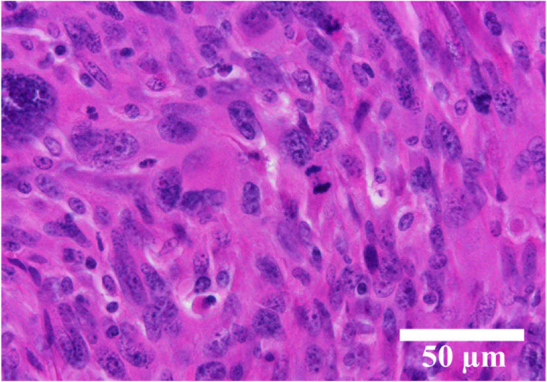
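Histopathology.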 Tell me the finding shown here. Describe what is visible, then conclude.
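Frequent mitotic figures. At least one cell right of centre shows dark condensed chromosome clumps instead of a round nucleus. Several other nuclei show coarse, clumped dark chromatin.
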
